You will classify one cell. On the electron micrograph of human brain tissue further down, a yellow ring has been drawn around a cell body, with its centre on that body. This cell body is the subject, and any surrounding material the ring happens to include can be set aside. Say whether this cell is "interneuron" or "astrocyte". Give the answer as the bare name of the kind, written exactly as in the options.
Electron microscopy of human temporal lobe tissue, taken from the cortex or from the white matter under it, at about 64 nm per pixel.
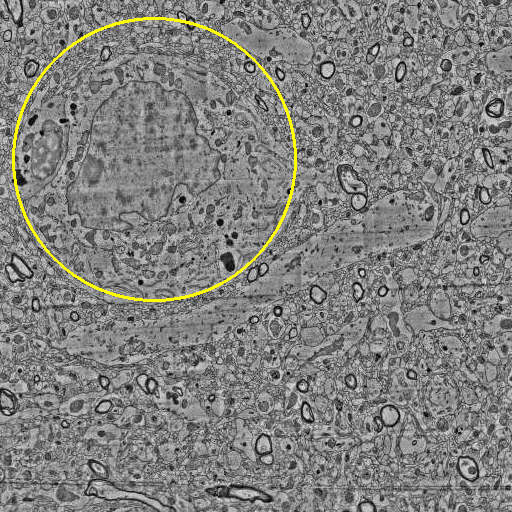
interneuron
